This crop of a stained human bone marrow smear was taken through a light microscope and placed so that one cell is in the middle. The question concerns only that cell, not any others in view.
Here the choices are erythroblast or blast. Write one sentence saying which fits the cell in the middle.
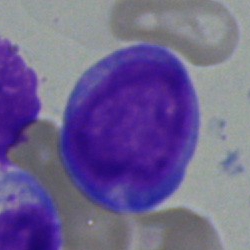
In the central position of this crop, the cell is a blast.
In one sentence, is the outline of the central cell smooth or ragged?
Its surface contour is regular and smooth, without any protrusions.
